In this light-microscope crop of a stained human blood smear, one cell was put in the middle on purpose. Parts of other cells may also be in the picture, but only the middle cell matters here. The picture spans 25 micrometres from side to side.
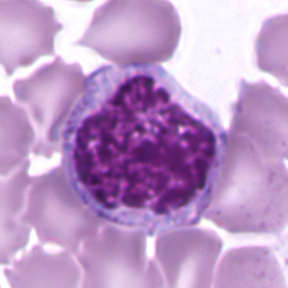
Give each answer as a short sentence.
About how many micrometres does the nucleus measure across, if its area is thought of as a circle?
The diameter of the nucleus comes to about 11 micrometres.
